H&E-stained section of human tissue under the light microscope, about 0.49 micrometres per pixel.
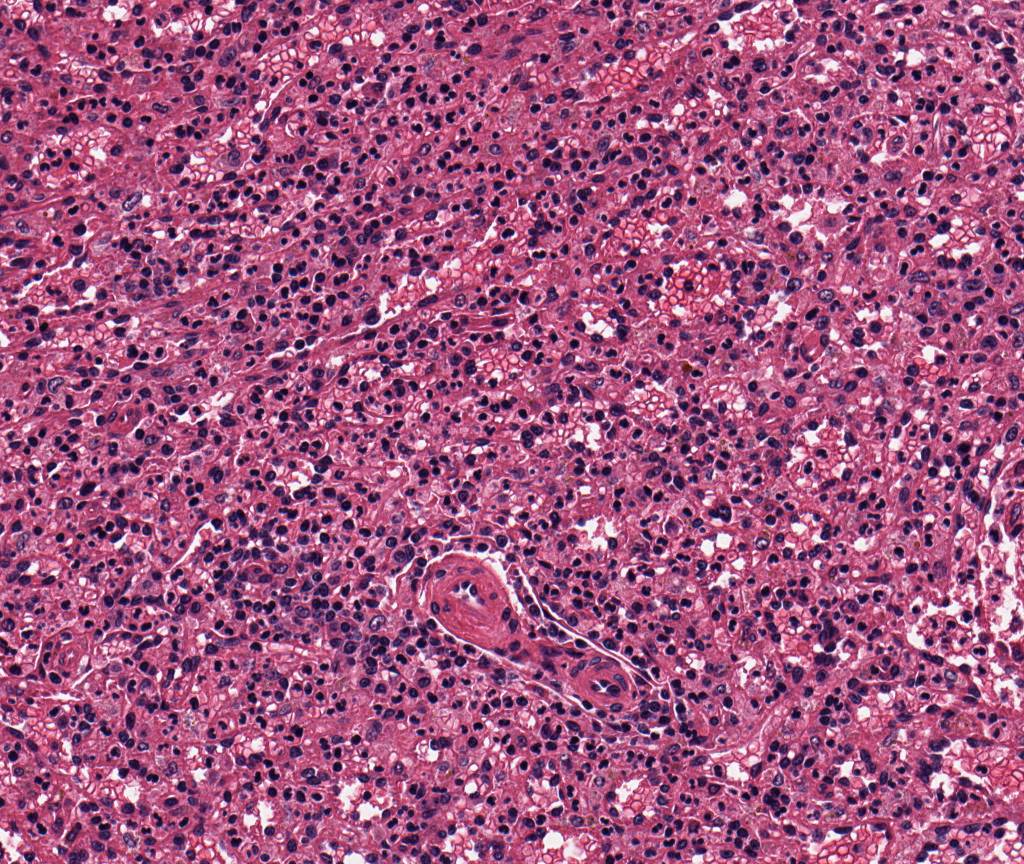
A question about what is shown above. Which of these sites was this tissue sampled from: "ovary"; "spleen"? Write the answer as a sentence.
The site this tissue was sampled from is the spleen.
